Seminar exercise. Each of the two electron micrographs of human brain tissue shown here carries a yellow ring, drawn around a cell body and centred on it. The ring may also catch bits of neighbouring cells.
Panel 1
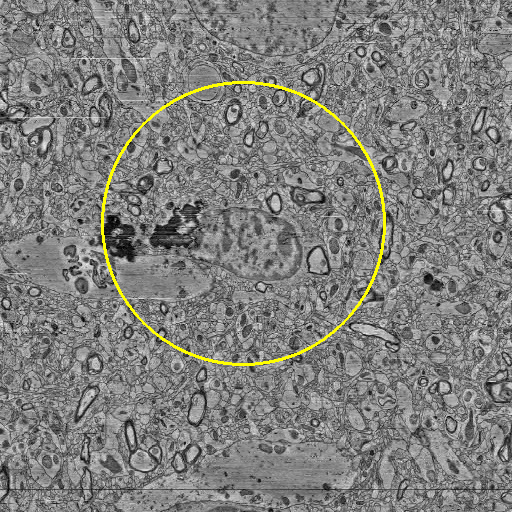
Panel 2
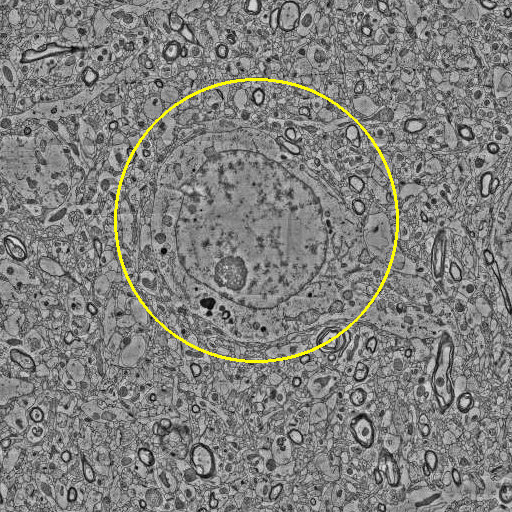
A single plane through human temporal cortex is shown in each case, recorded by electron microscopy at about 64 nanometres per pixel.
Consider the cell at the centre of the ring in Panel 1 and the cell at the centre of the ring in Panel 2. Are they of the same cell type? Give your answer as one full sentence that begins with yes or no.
No, the two cells are of two types.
